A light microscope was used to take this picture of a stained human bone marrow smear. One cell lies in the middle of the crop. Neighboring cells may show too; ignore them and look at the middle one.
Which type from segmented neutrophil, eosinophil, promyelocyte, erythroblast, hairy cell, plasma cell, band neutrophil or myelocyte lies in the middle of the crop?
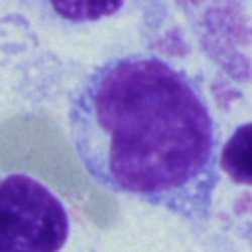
hairy cell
